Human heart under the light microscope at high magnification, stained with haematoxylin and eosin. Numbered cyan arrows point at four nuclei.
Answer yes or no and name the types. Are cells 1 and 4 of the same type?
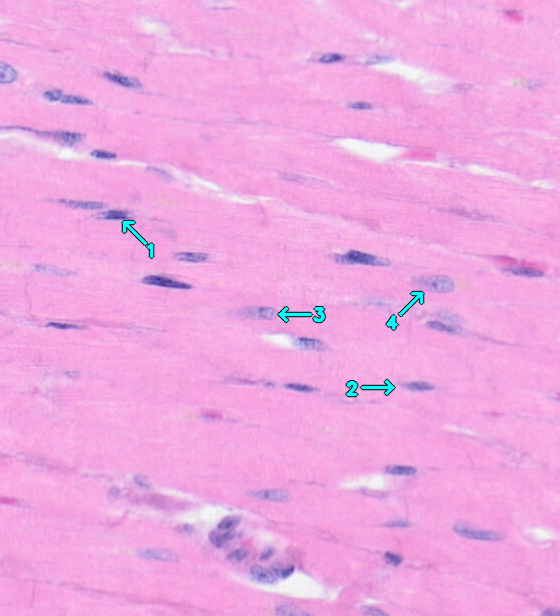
No, cell 1 is an endothelial cell and cell 4 is a cardiomyocyte.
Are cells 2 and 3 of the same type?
No, cell 2 is an endothelial cell whereas cell 3 is a cardiomyocyte.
